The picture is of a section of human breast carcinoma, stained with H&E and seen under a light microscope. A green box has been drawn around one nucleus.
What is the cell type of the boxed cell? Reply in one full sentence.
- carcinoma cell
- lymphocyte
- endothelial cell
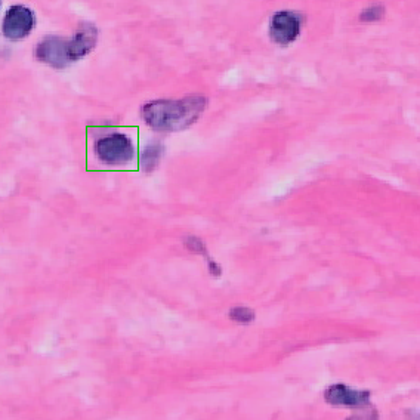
It is as a lymphocyte that the boxed cell is recorded.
